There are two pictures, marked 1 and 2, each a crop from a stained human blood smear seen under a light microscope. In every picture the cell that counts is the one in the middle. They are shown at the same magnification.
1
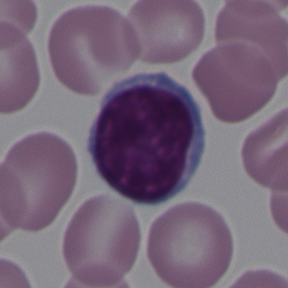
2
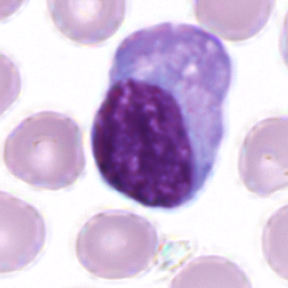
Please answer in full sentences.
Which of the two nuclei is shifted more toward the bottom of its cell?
Seen within its cell, the nucleus in picture 2 lies further toward the bottom.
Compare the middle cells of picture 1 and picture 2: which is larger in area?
Picture 2 holds the larger cell; it covers about 1.5 times the area of the cell in picture 1.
